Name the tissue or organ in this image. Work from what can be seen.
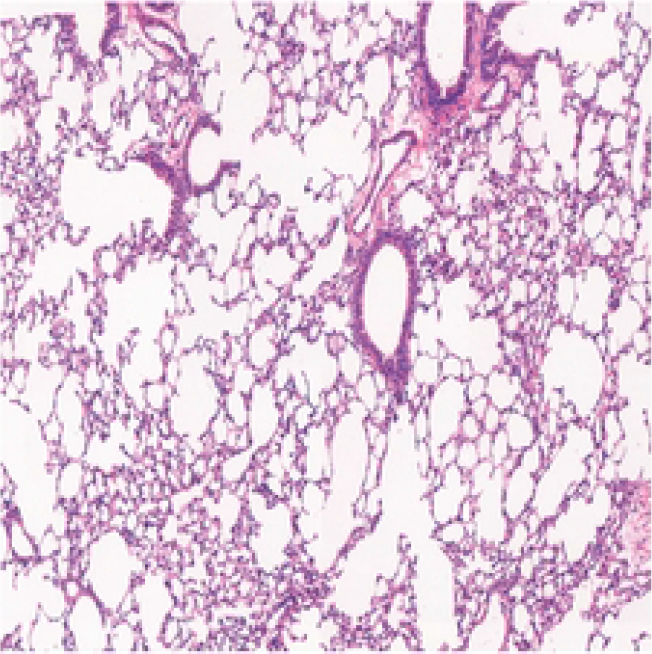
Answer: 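Lungs. A lacy network of thin-walled air spaces fills the field. Round airway profiles lined by a layer of epithelium lie among the air spaces.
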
